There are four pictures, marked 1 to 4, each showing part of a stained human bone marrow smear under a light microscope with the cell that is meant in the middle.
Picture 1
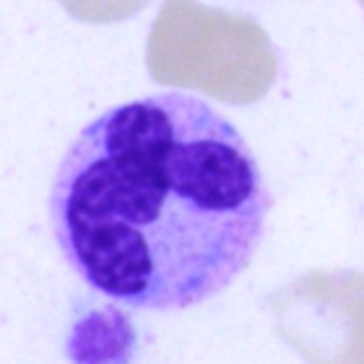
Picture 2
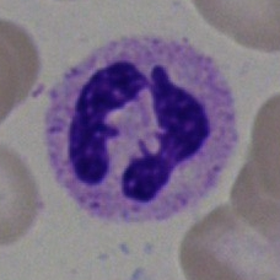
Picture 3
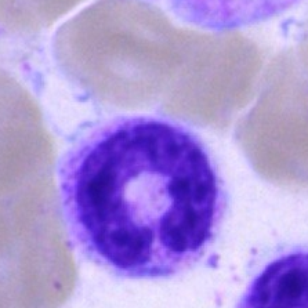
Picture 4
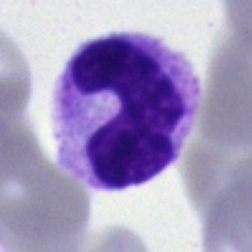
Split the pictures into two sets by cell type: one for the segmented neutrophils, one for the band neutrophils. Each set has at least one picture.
1: segmented neutrophil
2: segmented neutrophil
3: band neutrophil
4: band neutrophil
